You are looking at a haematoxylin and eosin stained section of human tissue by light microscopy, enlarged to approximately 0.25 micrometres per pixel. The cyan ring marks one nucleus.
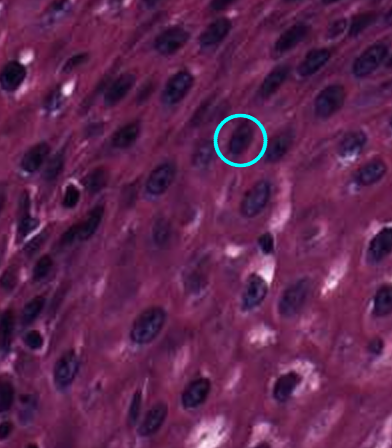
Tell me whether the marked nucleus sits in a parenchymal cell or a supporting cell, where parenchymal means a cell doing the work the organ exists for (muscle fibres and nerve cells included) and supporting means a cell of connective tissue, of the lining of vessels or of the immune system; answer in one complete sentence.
The owner of the marked nucleus is a parenchymal cell, namely a squamous epithelial cell.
